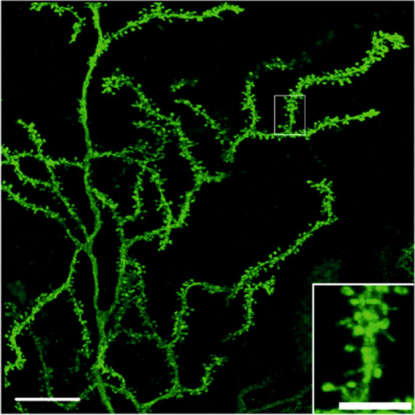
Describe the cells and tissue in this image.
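A single filled neuron's branching dendrites glow green on a black background. Several thick branches run roughly upward and divide into progressively thinner branches that spread across the field. Along nearly every branch the outline is rough, studded with many small knob-like protrusions on both sides of the shaft. The enlarged inset at lower right shows one short stretch of branch at high magnification, where the protrusions appear as densely packed small heads projecting from the shaft. This is a portion of a dendritic tree, and the protrusions are dendritic spines, densely covering the dendrites.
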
